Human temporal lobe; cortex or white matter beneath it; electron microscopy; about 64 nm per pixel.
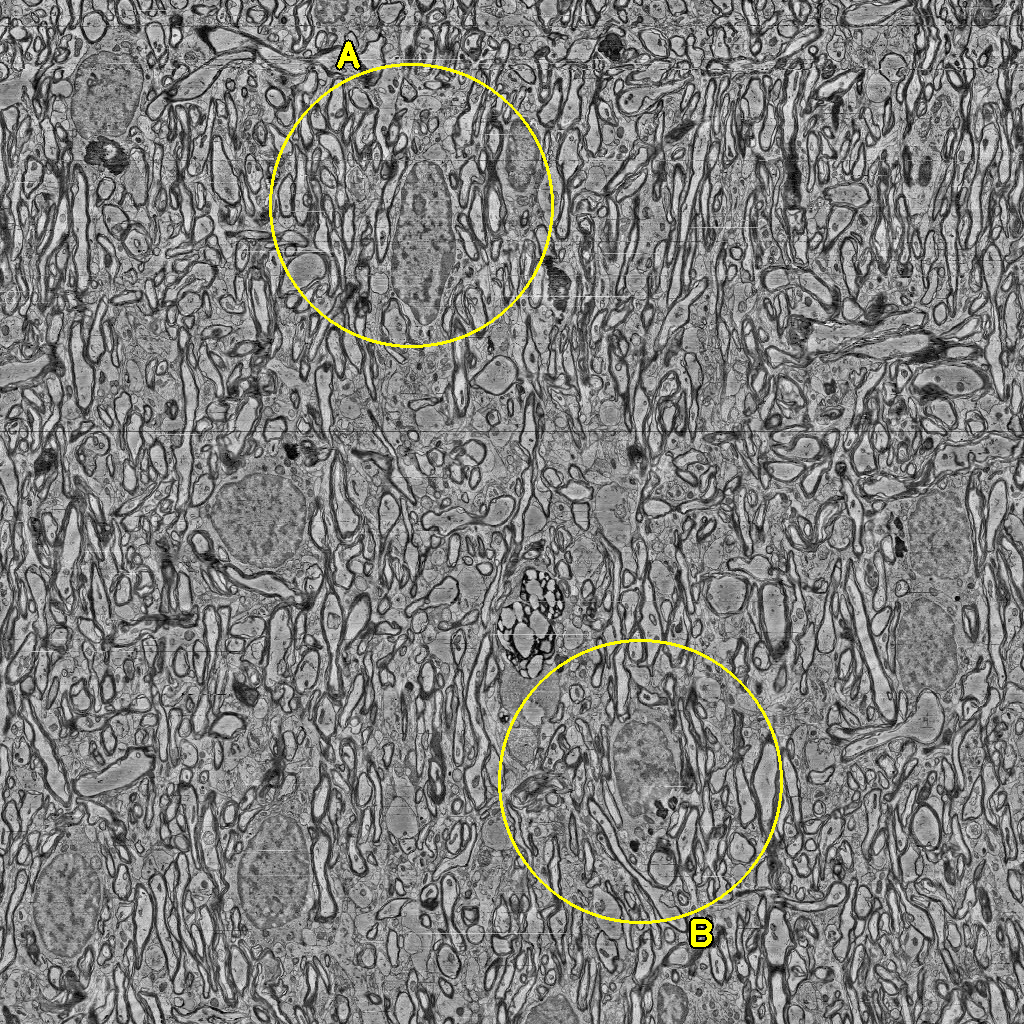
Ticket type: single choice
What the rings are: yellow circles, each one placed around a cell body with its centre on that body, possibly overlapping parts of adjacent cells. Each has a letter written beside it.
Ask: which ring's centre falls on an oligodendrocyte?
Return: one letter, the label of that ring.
B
